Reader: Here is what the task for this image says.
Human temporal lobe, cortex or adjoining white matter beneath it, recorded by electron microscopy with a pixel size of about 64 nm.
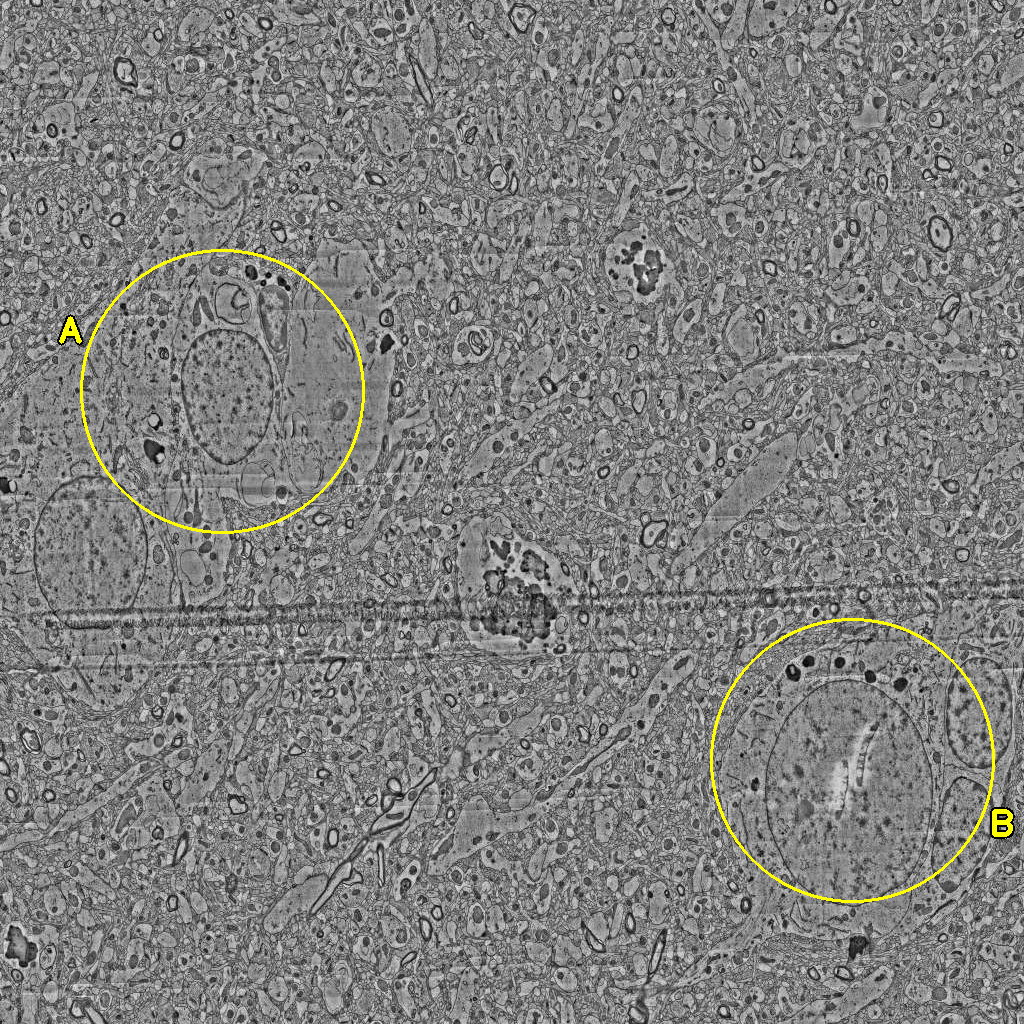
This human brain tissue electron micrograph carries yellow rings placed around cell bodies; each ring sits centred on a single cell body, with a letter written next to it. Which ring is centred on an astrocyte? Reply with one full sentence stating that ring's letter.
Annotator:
Letter A marks the ring whose centre holds the cell asked for.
